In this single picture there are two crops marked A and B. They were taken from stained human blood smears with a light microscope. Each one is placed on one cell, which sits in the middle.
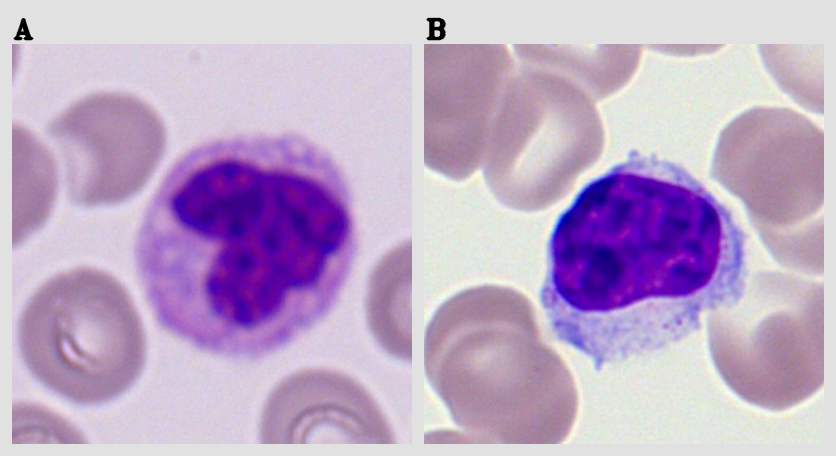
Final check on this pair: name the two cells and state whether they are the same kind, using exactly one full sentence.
No, record crop A as a monocyte and crop B as a lymphocyte.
